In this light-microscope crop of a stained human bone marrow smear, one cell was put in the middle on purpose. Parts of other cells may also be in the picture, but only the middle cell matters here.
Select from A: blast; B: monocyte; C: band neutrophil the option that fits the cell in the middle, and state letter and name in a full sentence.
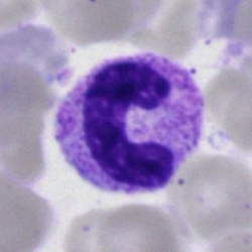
Identified correctly by option C, the cell in the middle is a band neutrophil.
